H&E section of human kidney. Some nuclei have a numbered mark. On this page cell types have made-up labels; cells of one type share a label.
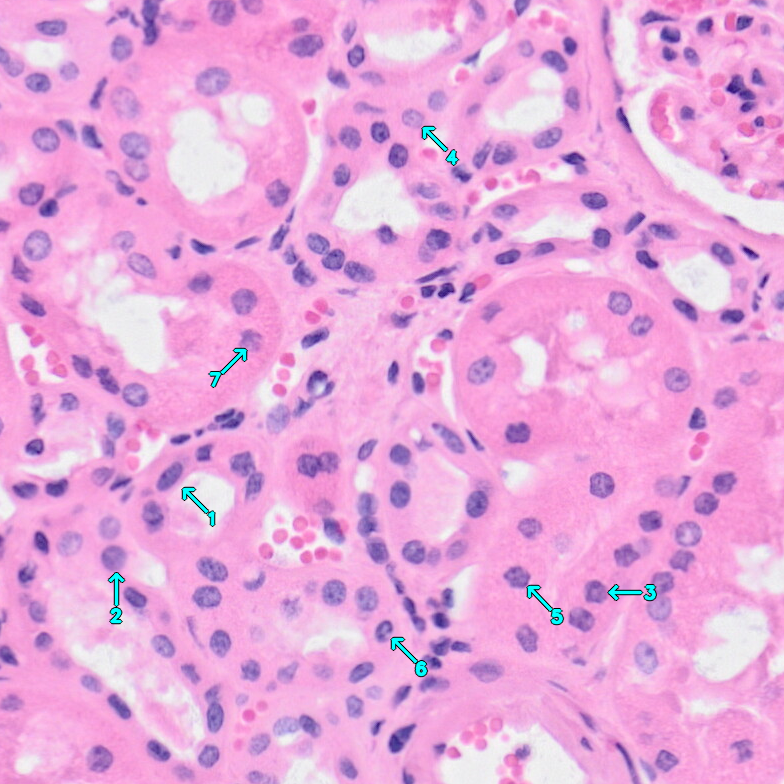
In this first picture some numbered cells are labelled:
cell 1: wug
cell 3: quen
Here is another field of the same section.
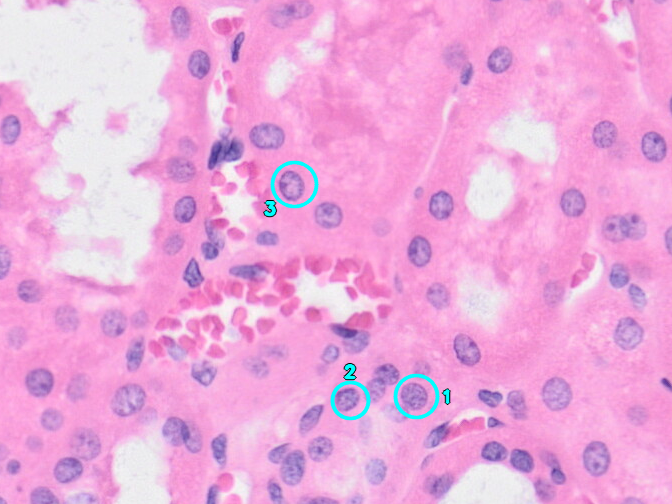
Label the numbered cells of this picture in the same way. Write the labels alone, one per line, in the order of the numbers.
wug
wug
quen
